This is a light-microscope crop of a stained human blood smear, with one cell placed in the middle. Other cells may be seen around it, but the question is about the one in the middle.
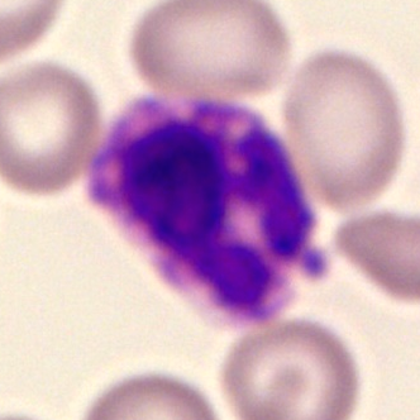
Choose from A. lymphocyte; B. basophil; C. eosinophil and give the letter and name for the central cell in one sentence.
The correct option is B, as the central cell is a basophil.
